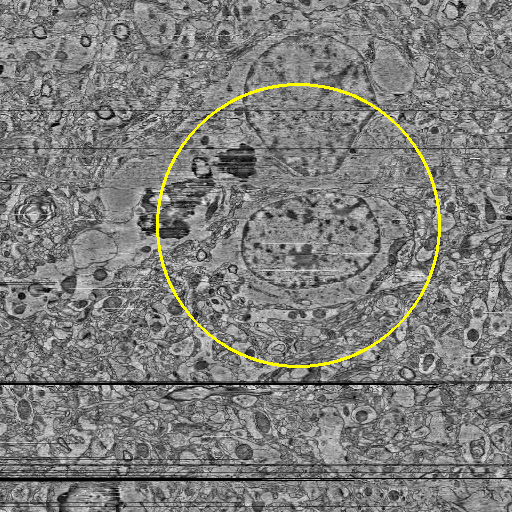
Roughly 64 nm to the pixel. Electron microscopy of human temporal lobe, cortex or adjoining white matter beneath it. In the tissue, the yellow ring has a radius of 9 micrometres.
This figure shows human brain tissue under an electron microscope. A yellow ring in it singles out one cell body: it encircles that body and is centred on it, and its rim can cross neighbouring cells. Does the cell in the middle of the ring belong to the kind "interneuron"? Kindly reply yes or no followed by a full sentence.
No, the cell centred in the figure's ring belongs to a different kind from the one asked.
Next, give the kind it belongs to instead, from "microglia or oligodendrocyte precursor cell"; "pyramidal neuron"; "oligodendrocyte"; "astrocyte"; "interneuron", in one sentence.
Instead, the cell at the centre of the ring is an astrocyte.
